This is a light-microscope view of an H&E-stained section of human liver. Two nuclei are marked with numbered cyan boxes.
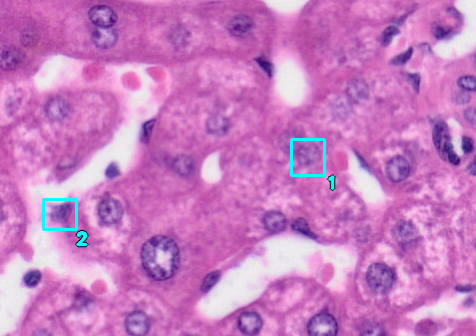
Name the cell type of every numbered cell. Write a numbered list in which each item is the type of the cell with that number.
1. hepatocyte
2. endothelial cell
